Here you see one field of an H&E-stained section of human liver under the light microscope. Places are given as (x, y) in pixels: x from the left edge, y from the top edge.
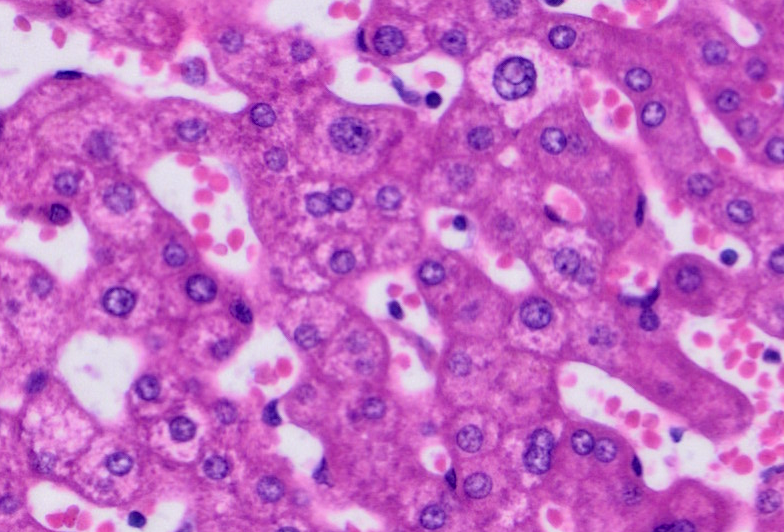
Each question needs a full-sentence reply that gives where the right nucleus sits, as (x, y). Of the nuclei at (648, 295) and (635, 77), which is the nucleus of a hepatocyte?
The cell to which the nucleus at (635, 77) belongs is a hepatocyte.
